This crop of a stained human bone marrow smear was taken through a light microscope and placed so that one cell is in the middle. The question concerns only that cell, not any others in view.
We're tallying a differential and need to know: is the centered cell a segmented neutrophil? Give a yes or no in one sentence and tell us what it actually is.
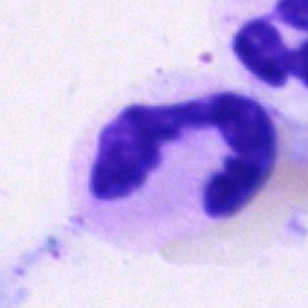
Yes, the cell lying in the middle is a segmented neutrophil.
